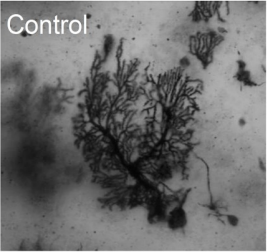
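A single Golgi-impregnated Purkinje cell stands out in black against a pale, blurred background. From a small cell body a few thick dendrites rise and divide again and again into a broad, fan-shaped arbor of ever finer branches. The terminal branches are thin and closely packed, giving the tree a dense, lace-like appearance. Parts of other impregnated cells appear out of focus at the edges of the field.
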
